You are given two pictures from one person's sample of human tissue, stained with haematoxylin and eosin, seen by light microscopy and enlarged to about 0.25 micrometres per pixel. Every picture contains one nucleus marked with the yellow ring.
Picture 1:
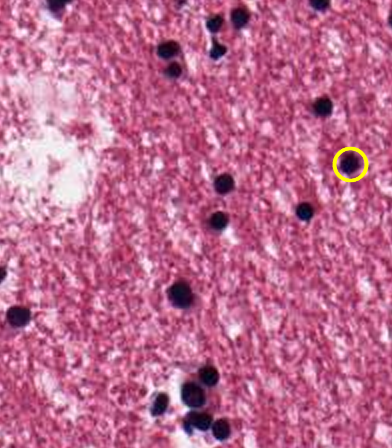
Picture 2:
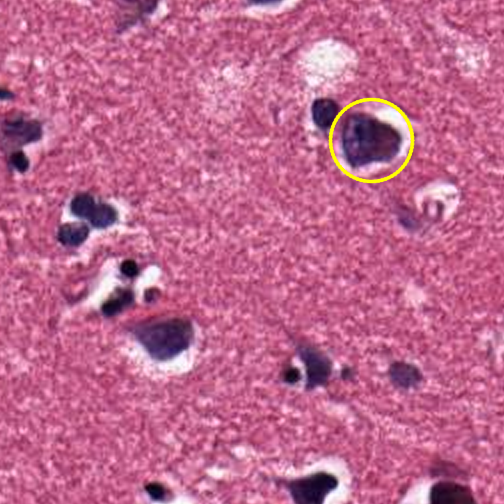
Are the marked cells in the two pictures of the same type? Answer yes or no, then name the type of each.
No, the first is an oligodendrocyte and the second a neuron.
